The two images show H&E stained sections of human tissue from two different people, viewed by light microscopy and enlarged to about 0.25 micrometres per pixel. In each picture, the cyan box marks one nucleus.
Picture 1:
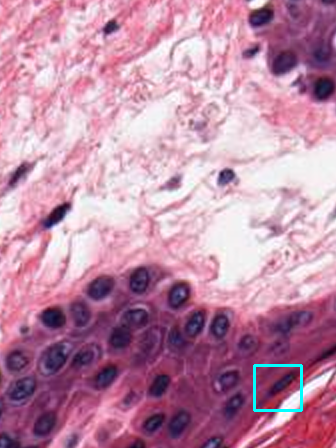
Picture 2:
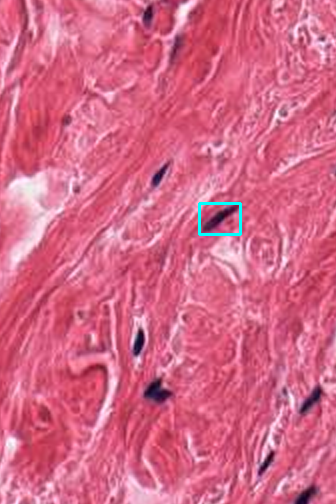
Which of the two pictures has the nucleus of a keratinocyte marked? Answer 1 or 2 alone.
1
